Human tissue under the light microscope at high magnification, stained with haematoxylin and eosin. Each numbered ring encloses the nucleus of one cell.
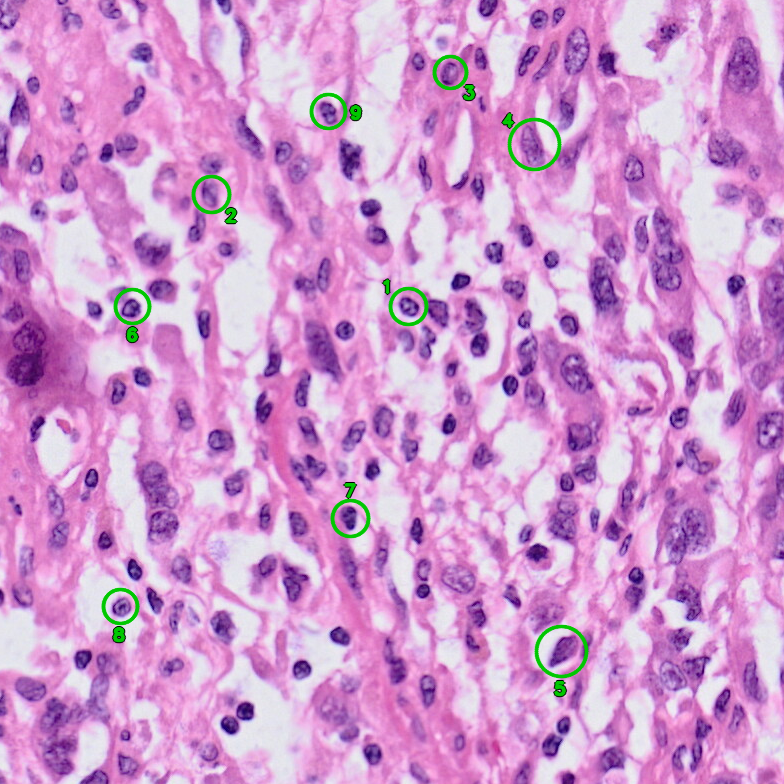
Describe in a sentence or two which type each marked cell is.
Cell 1 is a lymphocyte, cell 2 is a macrophage or monocyte, cell 3 is a macrophage or monocyte, cell 4 is a melanoma cell, cell 5 is a melanoma cell, cell 6 is a lymphocyte, cell 7 is a lymphocyte, cell 8 is a lymphocyte and cell 9 is a lymphocyte.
